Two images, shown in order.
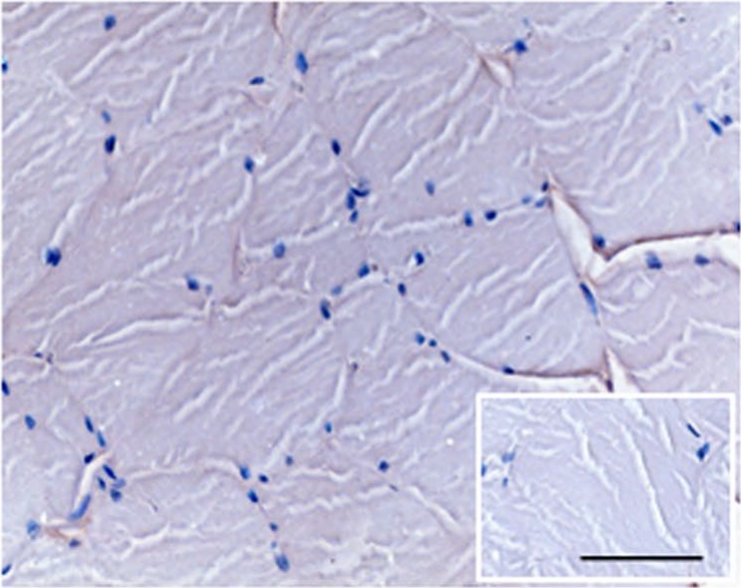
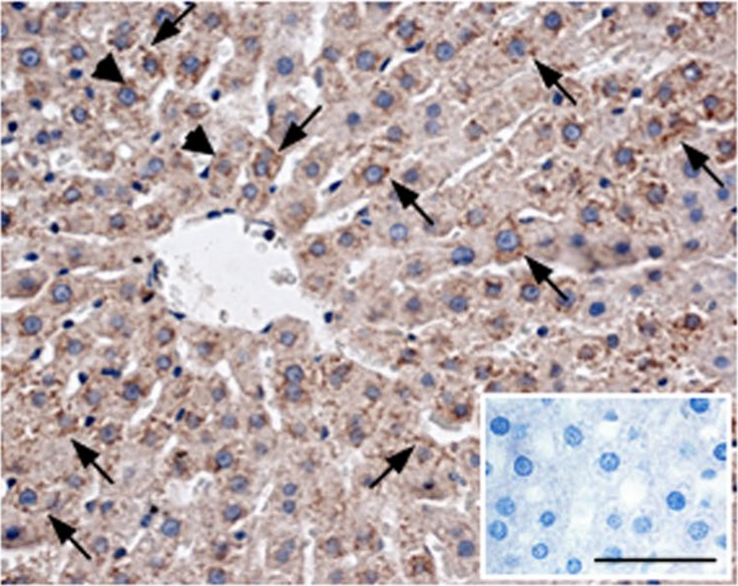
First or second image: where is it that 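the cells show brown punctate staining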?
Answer: The second image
